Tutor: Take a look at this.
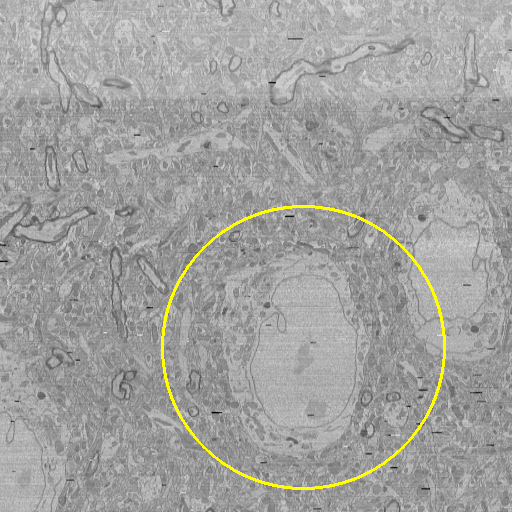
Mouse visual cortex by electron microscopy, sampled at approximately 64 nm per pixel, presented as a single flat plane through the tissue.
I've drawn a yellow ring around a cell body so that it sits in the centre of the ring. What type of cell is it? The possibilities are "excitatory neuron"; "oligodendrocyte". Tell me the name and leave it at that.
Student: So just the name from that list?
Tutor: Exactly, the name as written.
excitatory neuron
